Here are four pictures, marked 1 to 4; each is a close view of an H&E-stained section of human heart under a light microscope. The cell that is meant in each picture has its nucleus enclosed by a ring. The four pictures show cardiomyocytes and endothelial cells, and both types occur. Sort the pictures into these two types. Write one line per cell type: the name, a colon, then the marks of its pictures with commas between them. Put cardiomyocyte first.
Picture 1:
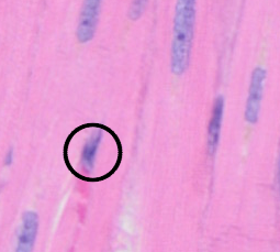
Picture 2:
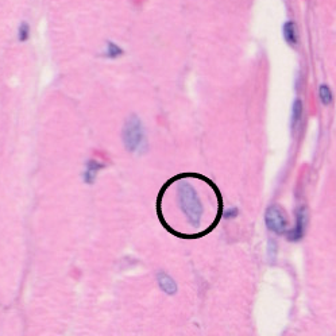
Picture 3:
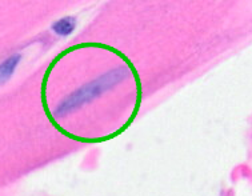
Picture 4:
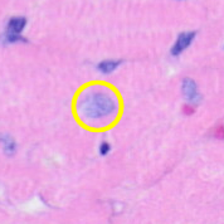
cardiomyocyte: 2, 3, 4
endothelial cell: 1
